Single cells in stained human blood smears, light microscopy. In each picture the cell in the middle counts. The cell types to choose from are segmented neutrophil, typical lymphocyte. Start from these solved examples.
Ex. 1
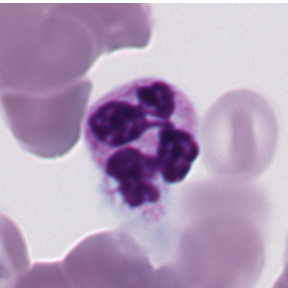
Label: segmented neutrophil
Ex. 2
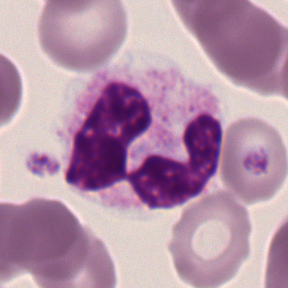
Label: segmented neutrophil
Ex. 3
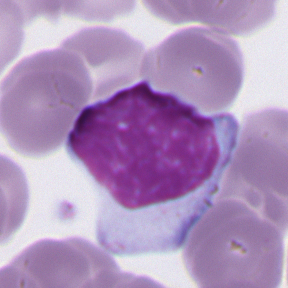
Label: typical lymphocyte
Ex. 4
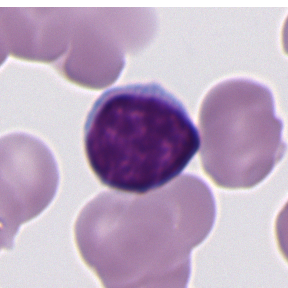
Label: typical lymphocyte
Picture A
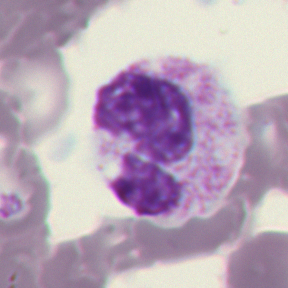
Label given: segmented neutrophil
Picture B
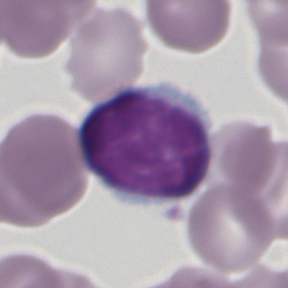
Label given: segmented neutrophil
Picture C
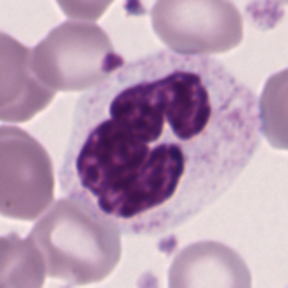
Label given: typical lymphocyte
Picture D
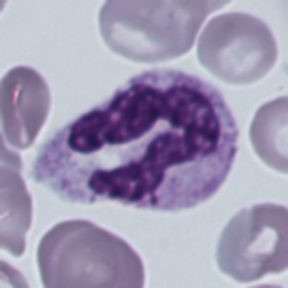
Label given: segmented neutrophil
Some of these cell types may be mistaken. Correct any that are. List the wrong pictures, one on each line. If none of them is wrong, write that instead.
Wrong: B (segmented neutrophil); correct: typical lymphocyte
Wrong: C (typical lymphocyte); correct: segmented neutrophil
